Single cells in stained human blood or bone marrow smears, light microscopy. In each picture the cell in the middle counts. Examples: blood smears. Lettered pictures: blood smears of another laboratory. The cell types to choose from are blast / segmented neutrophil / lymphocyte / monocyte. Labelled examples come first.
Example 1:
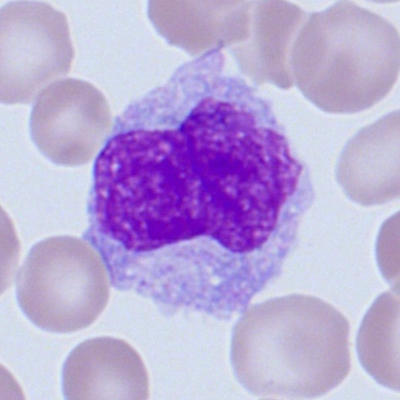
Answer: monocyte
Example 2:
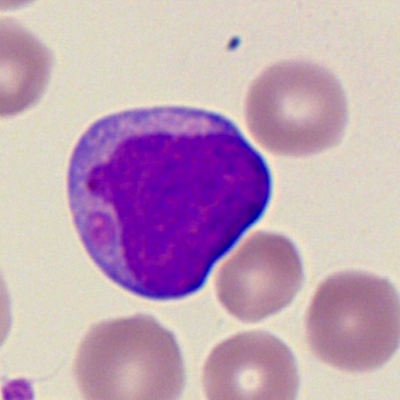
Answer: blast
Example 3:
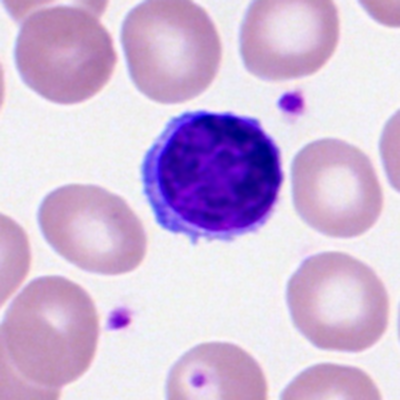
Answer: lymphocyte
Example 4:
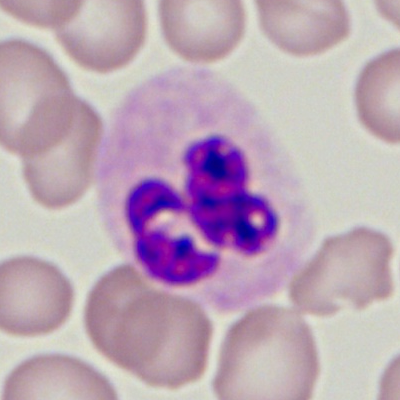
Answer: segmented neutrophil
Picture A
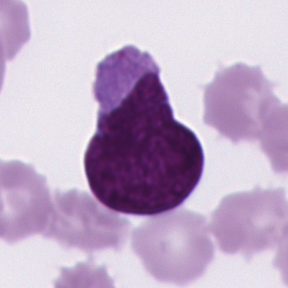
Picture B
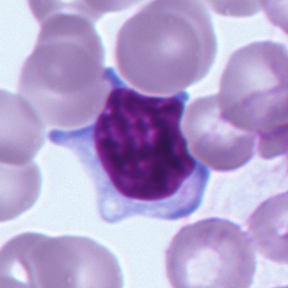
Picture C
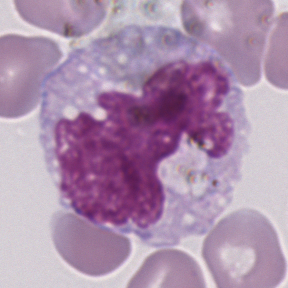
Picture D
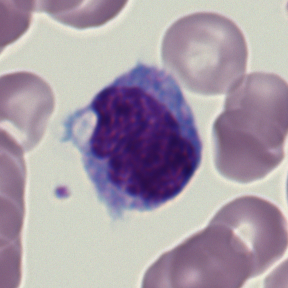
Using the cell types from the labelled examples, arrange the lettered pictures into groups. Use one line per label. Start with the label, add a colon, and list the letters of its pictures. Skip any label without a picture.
blast: A
lymphocyte: B
monocyte: C, D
